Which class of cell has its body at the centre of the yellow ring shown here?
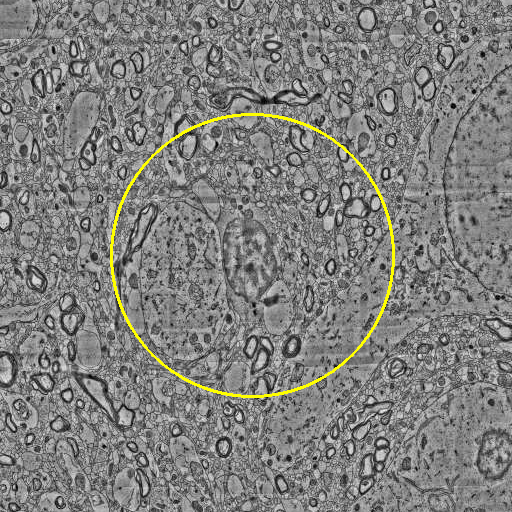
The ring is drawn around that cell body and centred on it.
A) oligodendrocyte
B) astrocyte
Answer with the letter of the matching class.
A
